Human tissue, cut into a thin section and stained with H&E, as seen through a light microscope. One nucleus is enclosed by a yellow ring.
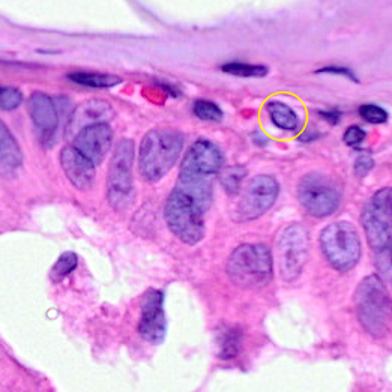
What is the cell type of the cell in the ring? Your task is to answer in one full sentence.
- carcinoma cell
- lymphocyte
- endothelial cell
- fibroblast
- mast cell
In the stained section, the cell in the ring is an endothelial cell.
